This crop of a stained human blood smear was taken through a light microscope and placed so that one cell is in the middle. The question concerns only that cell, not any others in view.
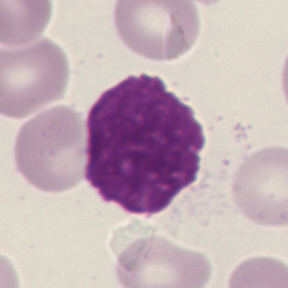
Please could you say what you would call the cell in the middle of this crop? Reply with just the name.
smudge cell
